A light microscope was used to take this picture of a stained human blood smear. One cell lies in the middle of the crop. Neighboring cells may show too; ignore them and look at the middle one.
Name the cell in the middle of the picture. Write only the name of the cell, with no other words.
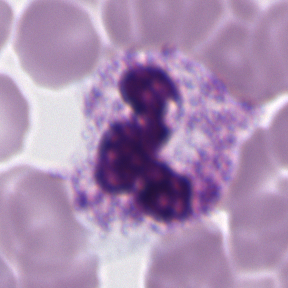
segmented neutrophil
